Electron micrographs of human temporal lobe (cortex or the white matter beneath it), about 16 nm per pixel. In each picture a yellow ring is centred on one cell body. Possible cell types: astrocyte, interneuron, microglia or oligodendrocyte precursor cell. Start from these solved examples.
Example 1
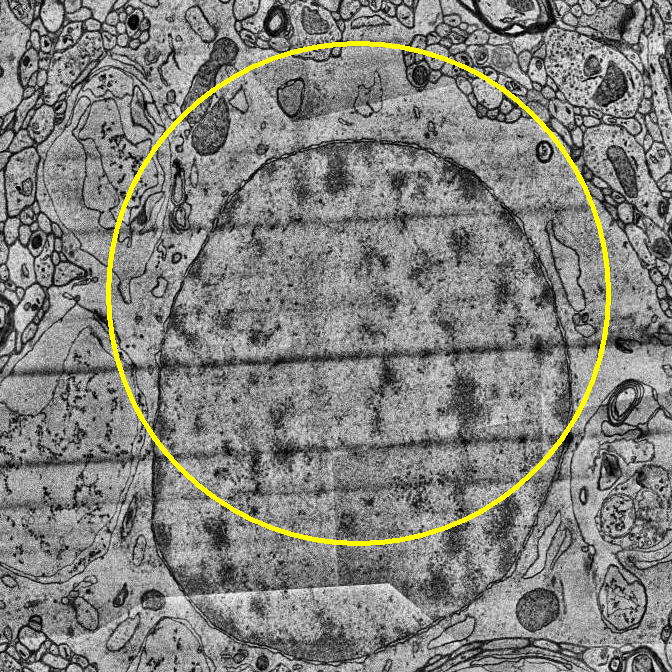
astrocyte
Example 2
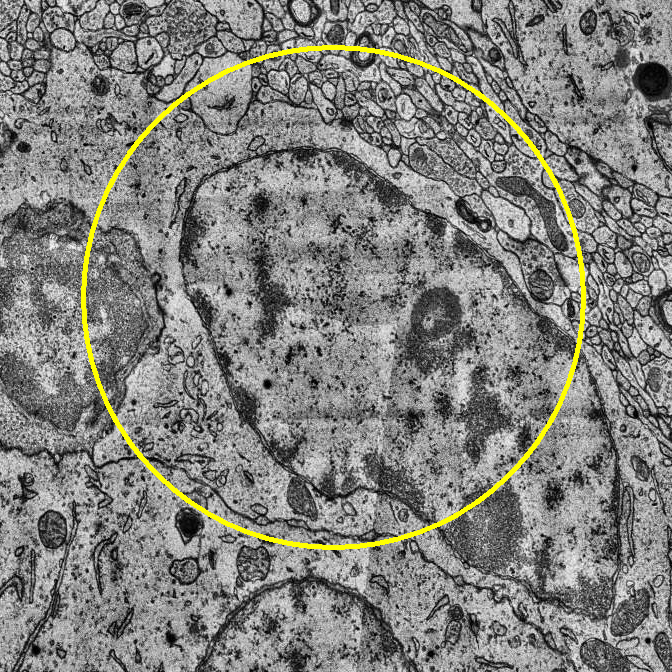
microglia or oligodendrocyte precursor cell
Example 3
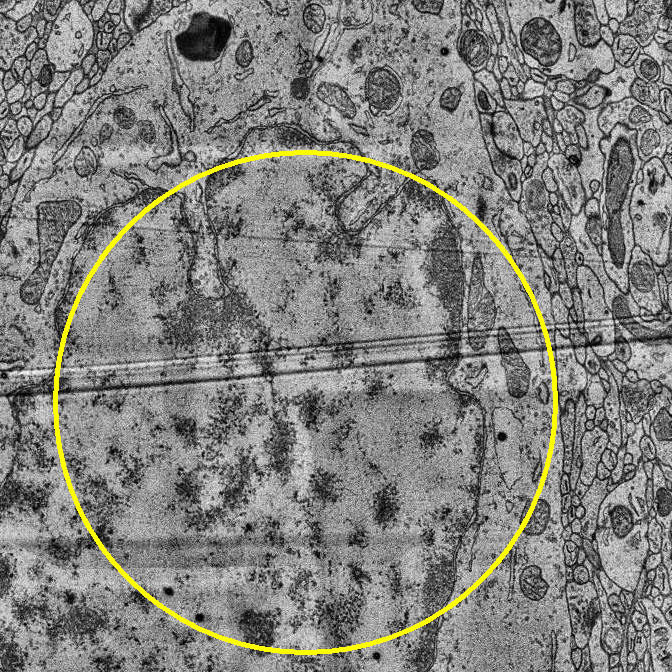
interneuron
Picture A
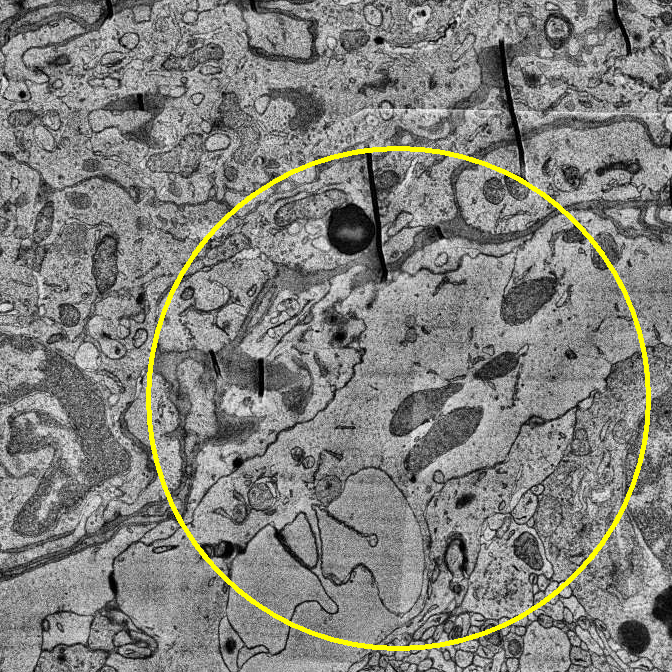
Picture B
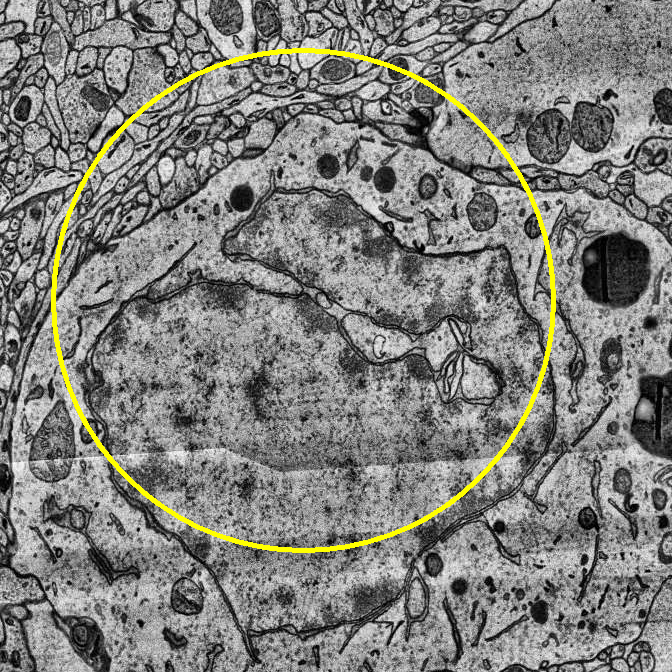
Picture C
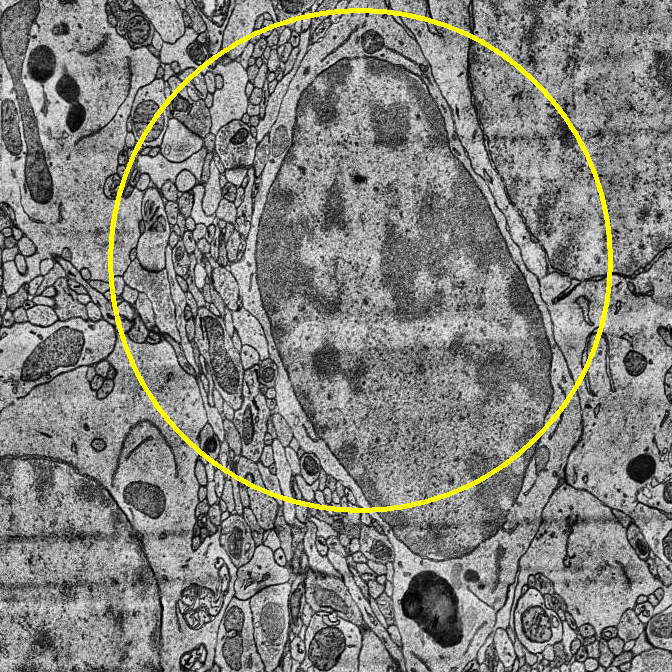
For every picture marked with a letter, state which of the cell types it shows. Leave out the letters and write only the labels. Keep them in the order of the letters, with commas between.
microglia or oligodendrocyte precursor cell, interneuron, microglia or oligodendrocyte precursor cell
